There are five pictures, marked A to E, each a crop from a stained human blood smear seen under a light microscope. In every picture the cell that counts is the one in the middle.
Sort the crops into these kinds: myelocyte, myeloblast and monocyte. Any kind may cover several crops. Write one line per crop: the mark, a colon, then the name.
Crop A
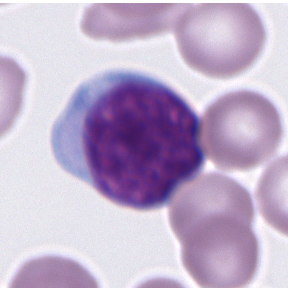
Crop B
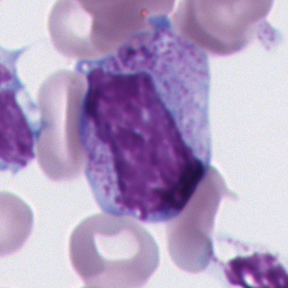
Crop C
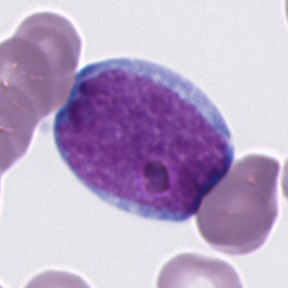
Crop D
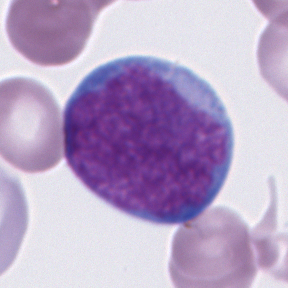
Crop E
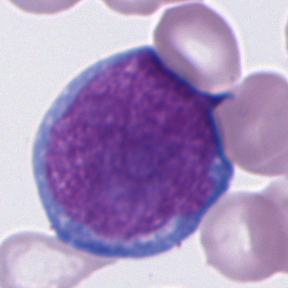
A: myeloblast
B: myelocyte
C: myeloblast
D: myeloblast
E: myeloblast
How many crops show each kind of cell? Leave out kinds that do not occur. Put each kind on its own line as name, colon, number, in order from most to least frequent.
myeloblast: 4
myelocyte: 1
